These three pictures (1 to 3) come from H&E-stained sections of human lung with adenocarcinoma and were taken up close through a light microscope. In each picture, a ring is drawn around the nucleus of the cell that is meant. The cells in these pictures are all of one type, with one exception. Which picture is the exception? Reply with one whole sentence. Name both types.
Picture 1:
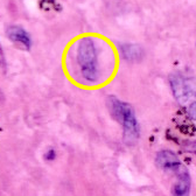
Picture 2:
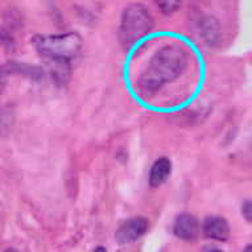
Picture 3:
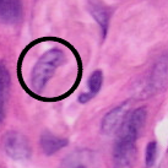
The others show fibroblasts, but picture 2 shows a carcinoma cell.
